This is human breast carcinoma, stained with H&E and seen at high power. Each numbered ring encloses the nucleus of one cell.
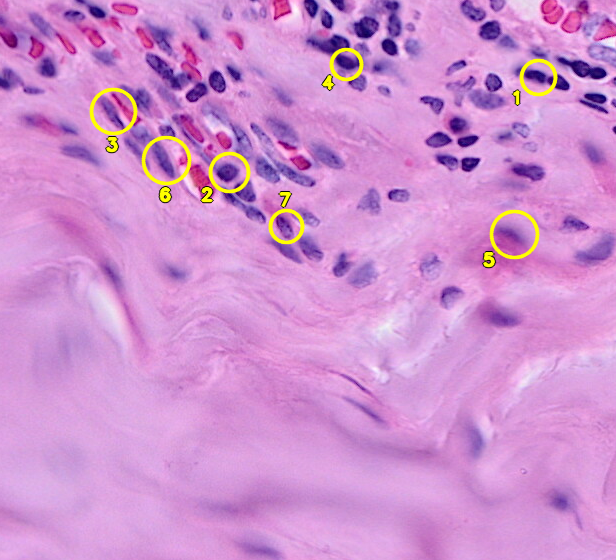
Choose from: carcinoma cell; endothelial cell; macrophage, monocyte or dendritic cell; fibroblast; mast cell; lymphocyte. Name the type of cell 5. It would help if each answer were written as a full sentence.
The numbered cell 5 is identified here as a fibroblast.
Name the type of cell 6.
In this section, the cell numbered 6 is an endothelial cell.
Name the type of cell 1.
The cell that carries the label 1 is a lymphocyte.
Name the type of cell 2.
As for number 2, that cell is a lymphocyte.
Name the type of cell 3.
Regarding cell 3, this one is an endothelial cell.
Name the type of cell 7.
The cell carrying label 7 is identified as a mast cell.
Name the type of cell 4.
To a lymphocyte belongs the nucleus marked 4.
